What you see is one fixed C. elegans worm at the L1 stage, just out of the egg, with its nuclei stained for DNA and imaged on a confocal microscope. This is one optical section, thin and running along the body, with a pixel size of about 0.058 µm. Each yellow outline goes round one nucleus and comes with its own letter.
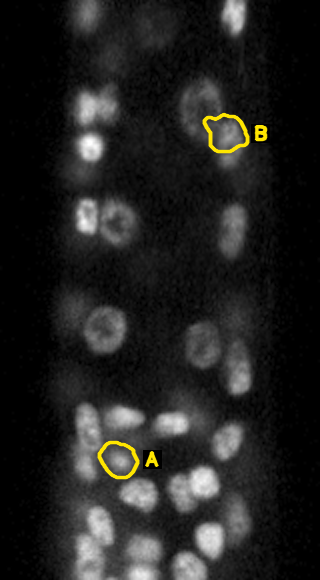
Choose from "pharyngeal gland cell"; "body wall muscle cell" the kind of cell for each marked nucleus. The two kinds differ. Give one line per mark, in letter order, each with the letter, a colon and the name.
A: pharyngeal gland cell
B: body wall muscle cell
